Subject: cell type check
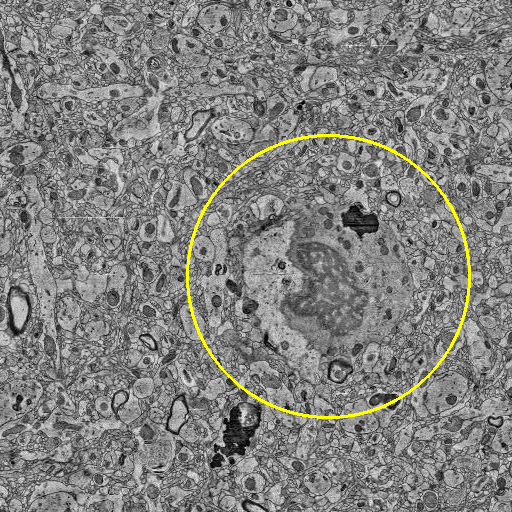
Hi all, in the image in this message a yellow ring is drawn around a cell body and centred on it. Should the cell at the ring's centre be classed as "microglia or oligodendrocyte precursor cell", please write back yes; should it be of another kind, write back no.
no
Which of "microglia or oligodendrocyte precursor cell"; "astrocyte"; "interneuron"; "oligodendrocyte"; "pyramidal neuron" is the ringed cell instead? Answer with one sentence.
What the ring is centred on is an oligodendrocyte.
